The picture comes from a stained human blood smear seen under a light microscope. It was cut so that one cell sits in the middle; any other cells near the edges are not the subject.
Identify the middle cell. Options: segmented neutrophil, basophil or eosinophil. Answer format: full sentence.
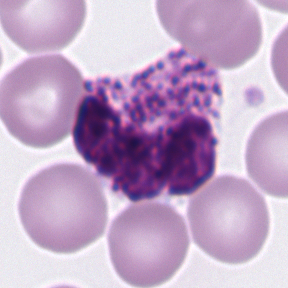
In the middle of this smear crop is a basophil.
